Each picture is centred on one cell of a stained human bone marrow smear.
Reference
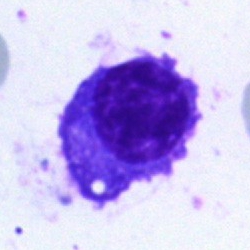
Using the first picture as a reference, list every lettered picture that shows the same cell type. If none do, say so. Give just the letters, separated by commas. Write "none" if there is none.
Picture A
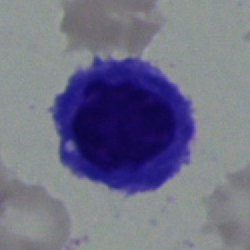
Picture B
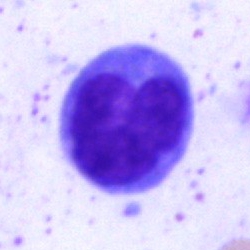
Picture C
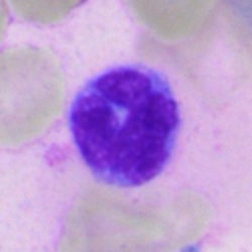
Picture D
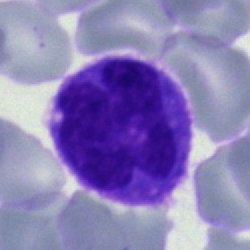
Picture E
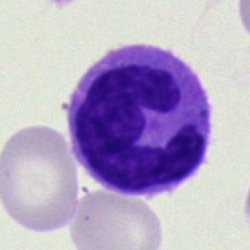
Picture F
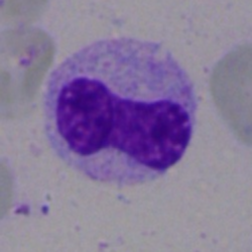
A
